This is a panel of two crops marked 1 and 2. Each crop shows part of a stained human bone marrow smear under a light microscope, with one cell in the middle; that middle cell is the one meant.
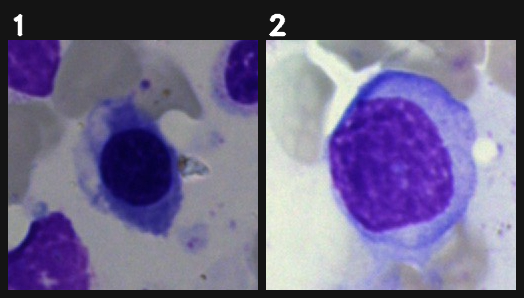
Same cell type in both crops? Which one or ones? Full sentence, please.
No, the cell of interest in crop 1 is a normoblast, and in crop 2 it is a blast.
